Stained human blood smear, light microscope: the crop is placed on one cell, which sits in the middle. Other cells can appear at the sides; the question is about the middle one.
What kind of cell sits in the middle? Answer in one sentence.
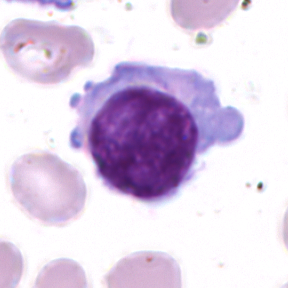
In the middle of this smear crop is a plasma cell.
